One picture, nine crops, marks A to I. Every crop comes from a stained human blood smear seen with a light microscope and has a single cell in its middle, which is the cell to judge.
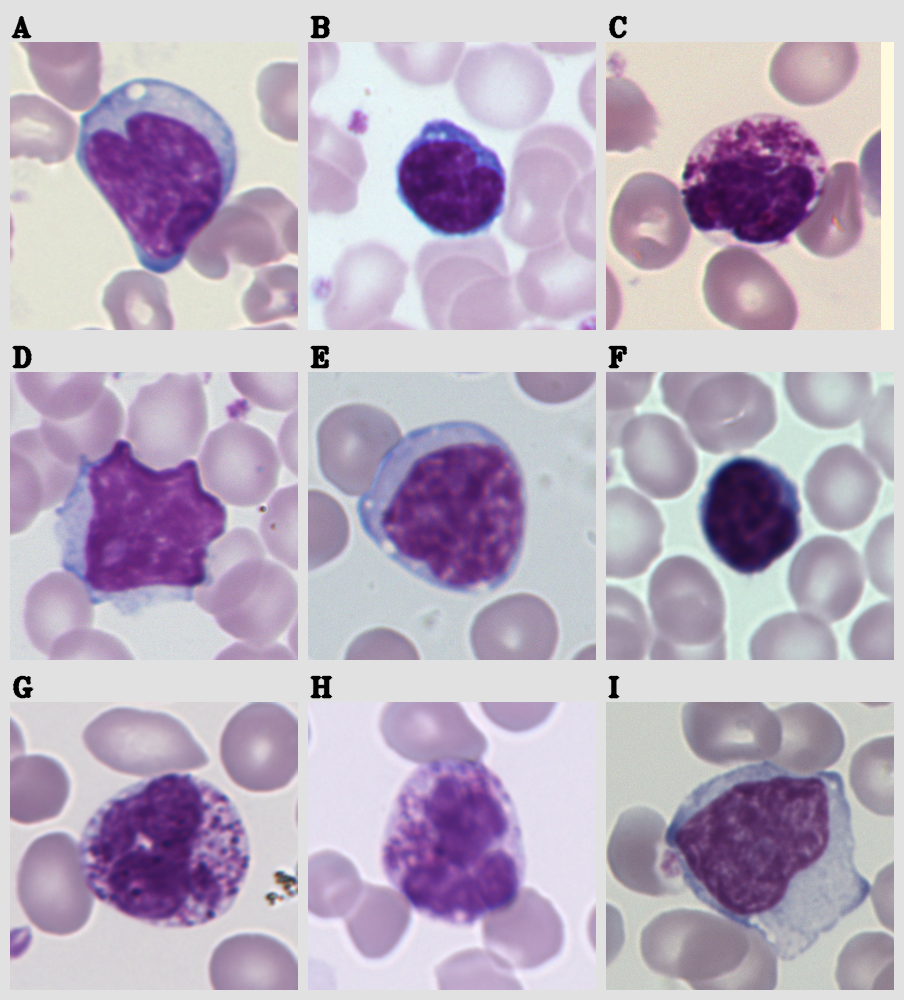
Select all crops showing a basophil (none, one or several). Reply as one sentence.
The cells at the centre of crops C, G and H represent basophils.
